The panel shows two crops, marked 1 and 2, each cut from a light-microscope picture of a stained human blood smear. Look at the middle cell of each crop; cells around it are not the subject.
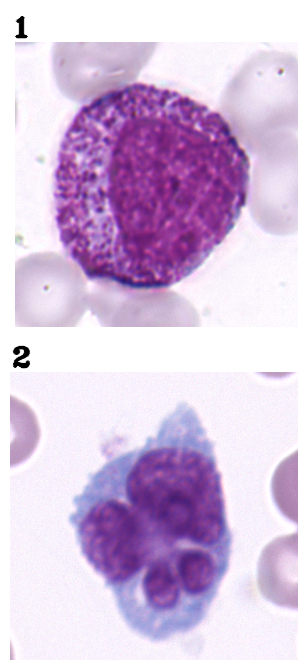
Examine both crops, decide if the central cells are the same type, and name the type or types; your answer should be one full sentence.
No, crop 2 holds a monocyte, while crop 1 holds a promyelocyte.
